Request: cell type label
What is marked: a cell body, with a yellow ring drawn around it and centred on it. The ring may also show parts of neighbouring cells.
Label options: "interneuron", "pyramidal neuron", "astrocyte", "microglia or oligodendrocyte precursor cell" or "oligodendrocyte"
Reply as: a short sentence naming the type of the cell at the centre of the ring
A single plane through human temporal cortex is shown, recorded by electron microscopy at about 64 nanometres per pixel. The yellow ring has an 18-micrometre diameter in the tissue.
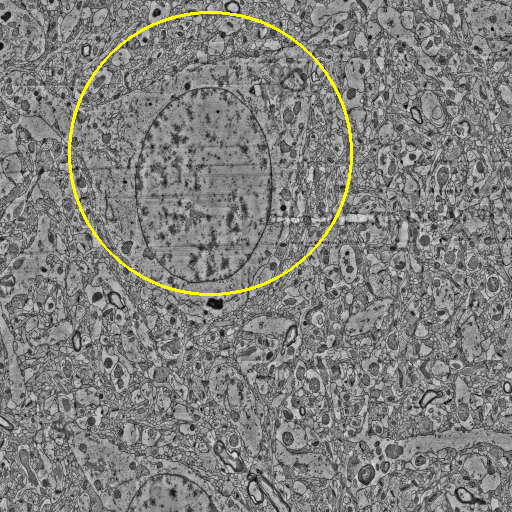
The marked cell body is that of a pyramidal neuron.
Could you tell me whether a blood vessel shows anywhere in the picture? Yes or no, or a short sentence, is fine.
No, the image shows no blood vessel.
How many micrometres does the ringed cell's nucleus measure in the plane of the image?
In this plane the nucleus measures roughly 12 by 9 micrometers.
